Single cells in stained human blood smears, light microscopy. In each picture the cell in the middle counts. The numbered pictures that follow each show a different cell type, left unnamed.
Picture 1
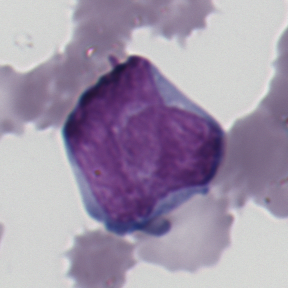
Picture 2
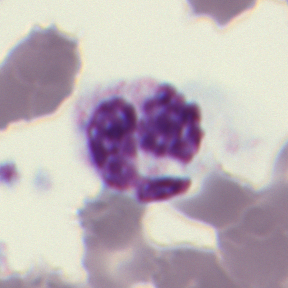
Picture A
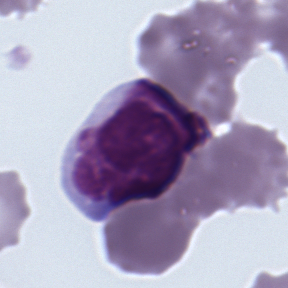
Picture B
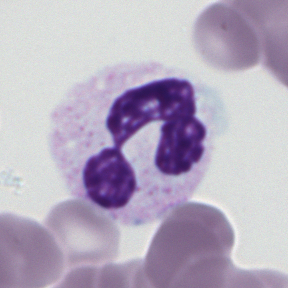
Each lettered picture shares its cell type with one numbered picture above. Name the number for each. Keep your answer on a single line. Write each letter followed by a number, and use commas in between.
A 1, B 2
